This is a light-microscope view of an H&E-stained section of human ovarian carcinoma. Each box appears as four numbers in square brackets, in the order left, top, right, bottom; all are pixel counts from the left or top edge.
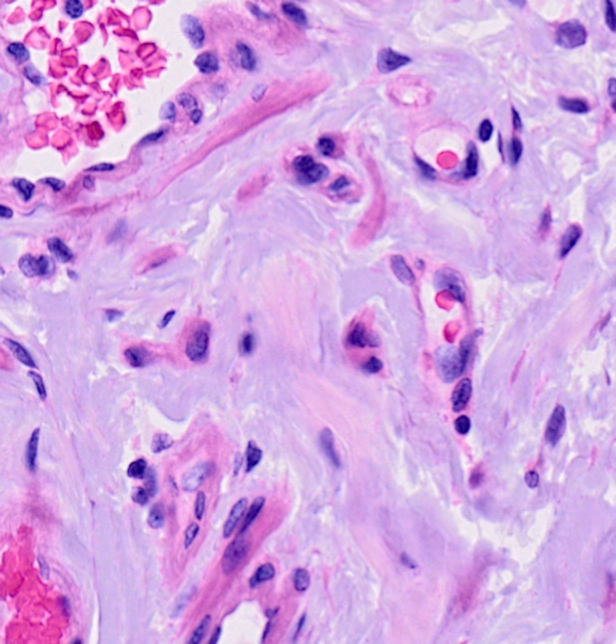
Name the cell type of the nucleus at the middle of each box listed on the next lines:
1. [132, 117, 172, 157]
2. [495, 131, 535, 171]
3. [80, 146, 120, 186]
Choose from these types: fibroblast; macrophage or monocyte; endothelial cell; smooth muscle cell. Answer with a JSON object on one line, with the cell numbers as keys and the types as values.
{"1": "endothelial cell", "2": "fibroblast", "3": "endothelial cell"}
